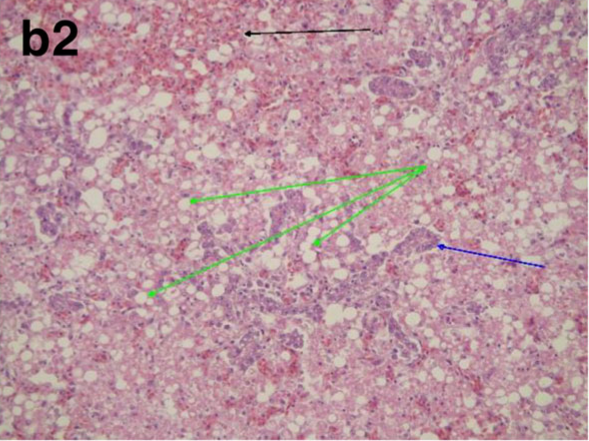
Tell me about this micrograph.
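This section of liver shows liver cells whose cytoplasm is crowded with round, clear, empty-looking vacuoles of varying size, giving the tissue a lacy appearance. The ordered arrangement of cell plates is largely obscured. Bright red blood fills widened spaces between the cells, especially in the upper part of the field. Scattered through the tissue are clusters of small cells with dark purple nuclei forming duct-like, tubular profiles. The overall staining is pink with purple nuclei, and areas appear disorganized.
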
